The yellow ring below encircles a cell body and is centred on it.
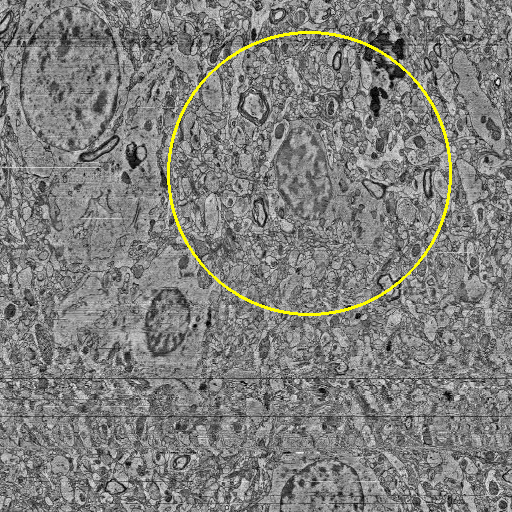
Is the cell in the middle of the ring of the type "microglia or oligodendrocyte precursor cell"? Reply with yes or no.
no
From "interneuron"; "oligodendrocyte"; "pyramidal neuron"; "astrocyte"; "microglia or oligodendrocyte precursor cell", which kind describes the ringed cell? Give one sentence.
The cell marked by the ring is an oligodendrocyte.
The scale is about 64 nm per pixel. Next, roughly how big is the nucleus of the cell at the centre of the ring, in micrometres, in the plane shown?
The nucleus of the ringed cell is approximately 6 by 4 micrometres in this plane.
